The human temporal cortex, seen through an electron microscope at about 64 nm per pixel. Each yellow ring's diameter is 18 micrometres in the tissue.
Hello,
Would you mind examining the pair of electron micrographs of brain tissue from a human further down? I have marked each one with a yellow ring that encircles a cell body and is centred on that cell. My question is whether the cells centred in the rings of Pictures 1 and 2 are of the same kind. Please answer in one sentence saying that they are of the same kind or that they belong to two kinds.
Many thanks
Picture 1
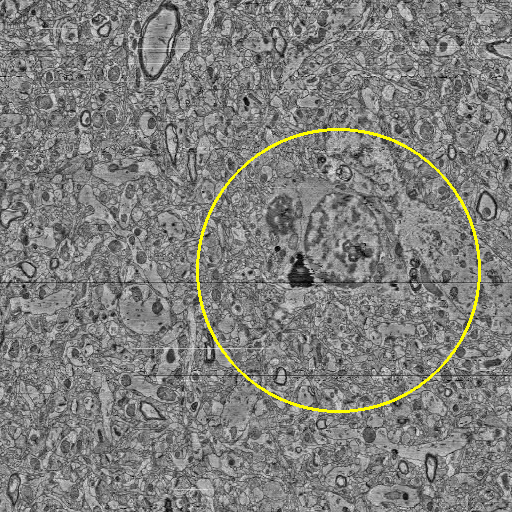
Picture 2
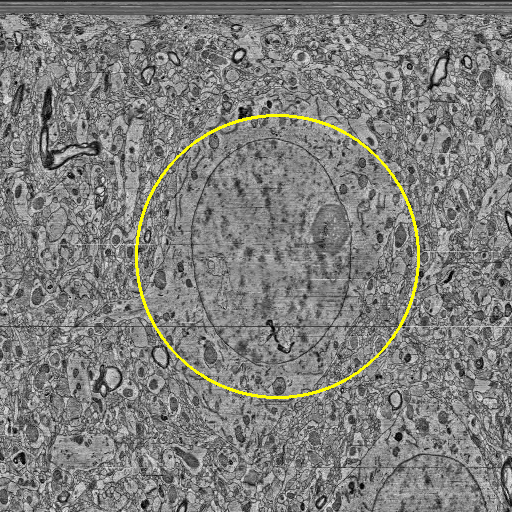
In Pictures 1 and 2, the cells at the heart of the rings belong to two kinds.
